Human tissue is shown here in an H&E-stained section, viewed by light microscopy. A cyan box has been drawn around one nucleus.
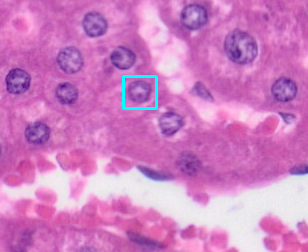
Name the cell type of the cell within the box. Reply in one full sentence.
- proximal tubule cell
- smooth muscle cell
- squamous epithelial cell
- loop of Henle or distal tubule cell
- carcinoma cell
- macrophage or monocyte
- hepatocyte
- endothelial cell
Within the stained tissue, the cell within the box is a hepatocyte.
